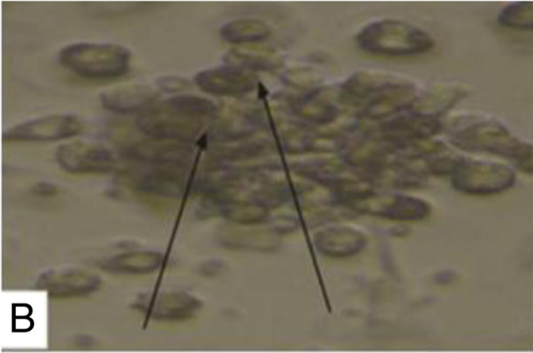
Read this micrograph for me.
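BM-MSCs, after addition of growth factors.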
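Around the aggregate, single rounded cells of similar appearance lie scattered on the dish. The rounded shape contrasts with the flat, elongated form typical of the undifferentiated cells.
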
